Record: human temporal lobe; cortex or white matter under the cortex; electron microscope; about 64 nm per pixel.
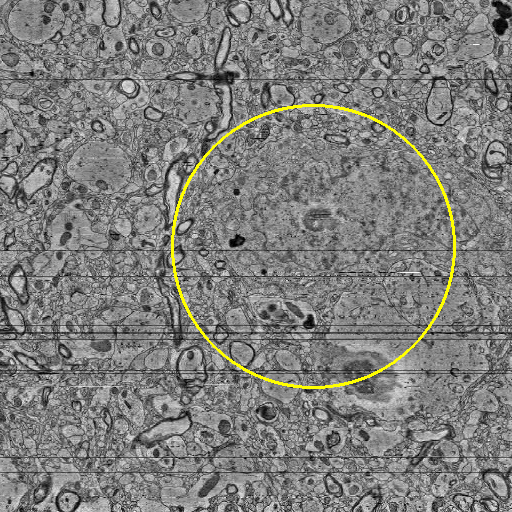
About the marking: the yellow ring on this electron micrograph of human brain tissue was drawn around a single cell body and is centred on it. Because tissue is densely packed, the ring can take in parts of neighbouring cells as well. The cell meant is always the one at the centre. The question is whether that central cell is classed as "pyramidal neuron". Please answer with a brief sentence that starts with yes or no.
No, the central cell belongs to another class.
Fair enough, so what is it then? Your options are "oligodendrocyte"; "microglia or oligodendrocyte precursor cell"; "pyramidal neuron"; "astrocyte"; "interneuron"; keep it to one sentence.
The cell in question here is an interneuron.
